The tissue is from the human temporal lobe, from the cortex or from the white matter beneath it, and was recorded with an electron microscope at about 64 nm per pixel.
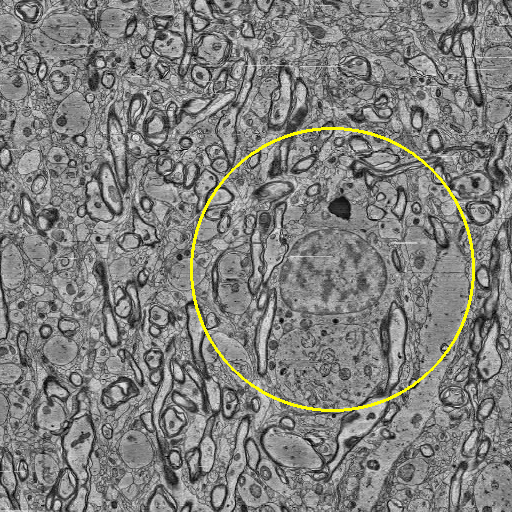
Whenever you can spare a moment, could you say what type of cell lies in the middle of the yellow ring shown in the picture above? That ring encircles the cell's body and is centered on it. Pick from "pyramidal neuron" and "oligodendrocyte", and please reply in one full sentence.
The cell whose body sits at the middle of the yellow ring is an oligodendrocyte.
